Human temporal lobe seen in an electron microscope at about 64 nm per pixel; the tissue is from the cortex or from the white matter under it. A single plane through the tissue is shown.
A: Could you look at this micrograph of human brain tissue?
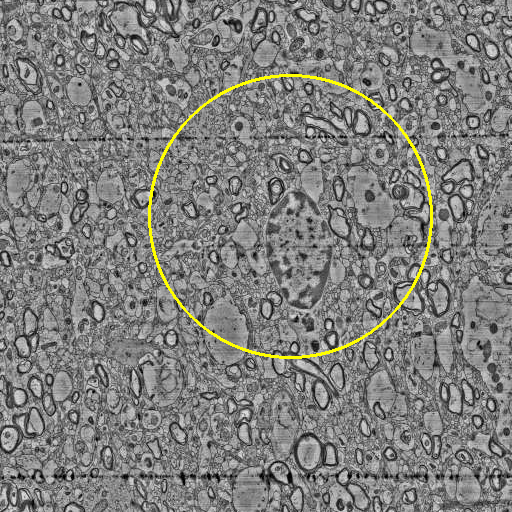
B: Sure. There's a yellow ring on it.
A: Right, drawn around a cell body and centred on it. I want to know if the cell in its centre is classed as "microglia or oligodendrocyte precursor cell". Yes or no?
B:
yes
